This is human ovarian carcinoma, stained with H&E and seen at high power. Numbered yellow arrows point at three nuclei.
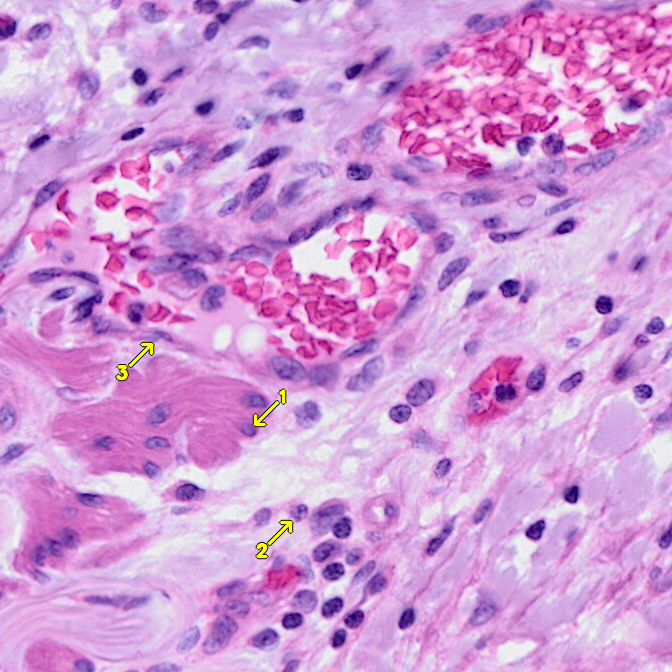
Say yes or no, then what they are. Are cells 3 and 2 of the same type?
No, by type, cell 3 is an endothelial cell and cell 2 is a lymphocyte.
